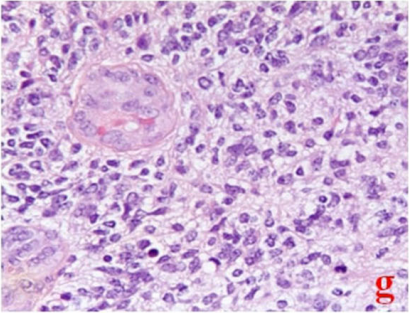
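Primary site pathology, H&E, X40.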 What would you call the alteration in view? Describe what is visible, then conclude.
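At upper left a rounded, tufted vessel with a pink wall is lined by plump, crowded cells. A second similar vascular tuft sits at the lower left edge.
Answer: microvascular proliferation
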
